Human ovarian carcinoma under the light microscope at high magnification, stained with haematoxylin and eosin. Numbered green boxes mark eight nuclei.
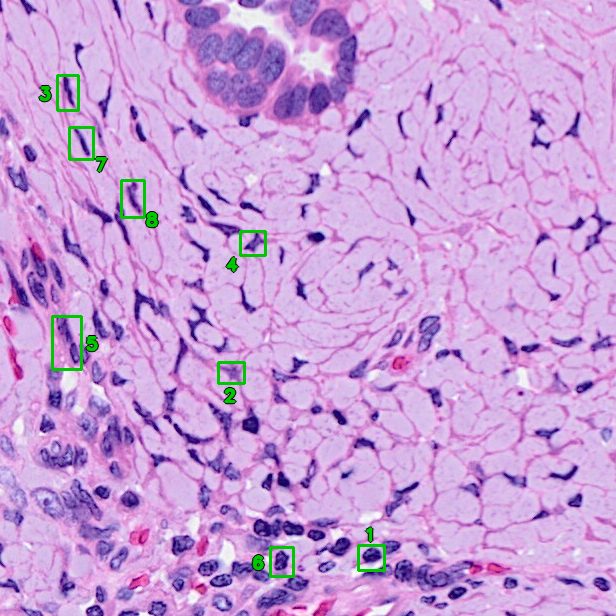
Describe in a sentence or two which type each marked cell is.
Cells 1 and 6 are lymphocytes. Cells 2, 3, 4, 7 and 8 are fibroblasts. Cell 5 is an endothelial cell.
